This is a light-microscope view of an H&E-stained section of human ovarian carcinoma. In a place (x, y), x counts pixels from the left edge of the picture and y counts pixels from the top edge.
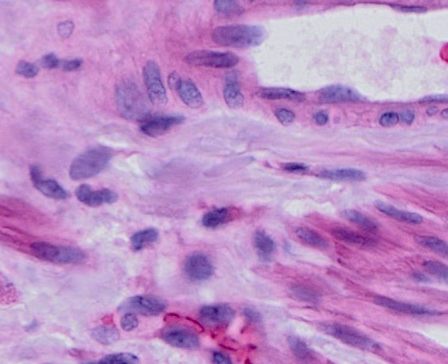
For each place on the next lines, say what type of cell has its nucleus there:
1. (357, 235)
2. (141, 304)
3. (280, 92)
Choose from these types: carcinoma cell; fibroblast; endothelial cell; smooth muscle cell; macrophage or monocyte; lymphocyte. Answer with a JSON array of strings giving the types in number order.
["smooth muscle cell", "endothelial cell", "endothelial cell"]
